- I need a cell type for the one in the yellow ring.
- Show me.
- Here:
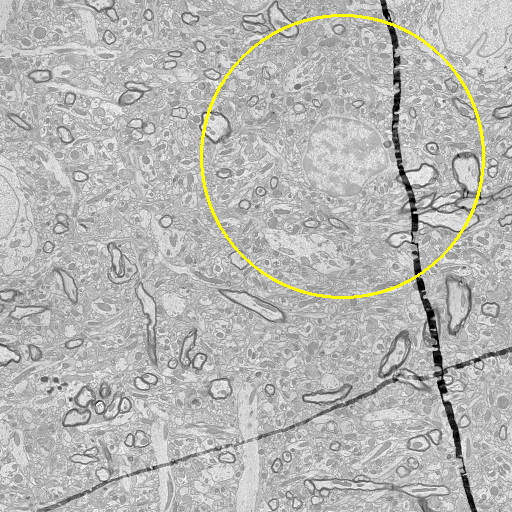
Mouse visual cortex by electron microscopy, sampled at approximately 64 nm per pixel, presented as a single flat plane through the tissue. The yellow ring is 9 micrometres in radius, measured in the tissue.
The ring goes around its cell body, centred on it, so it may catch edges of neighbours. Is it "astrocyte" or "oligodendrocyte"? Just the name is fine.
oligodendrocyte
